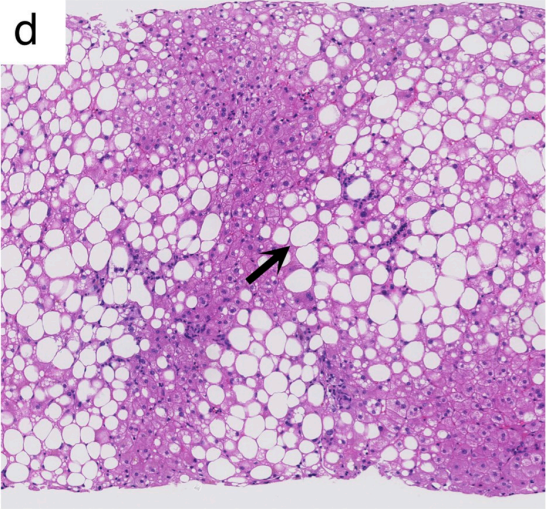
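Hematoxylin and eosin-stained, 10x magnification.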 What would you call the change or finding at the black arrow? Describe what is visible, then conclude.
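The arrow points at a large round clear vacuole filling a cell. Large clear vacuoles occupy most of the tissue area. Cell nuclei are pushed to the edge by the vacuoles. On this evidence: vacuoles of macrovesicular steatosis.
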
